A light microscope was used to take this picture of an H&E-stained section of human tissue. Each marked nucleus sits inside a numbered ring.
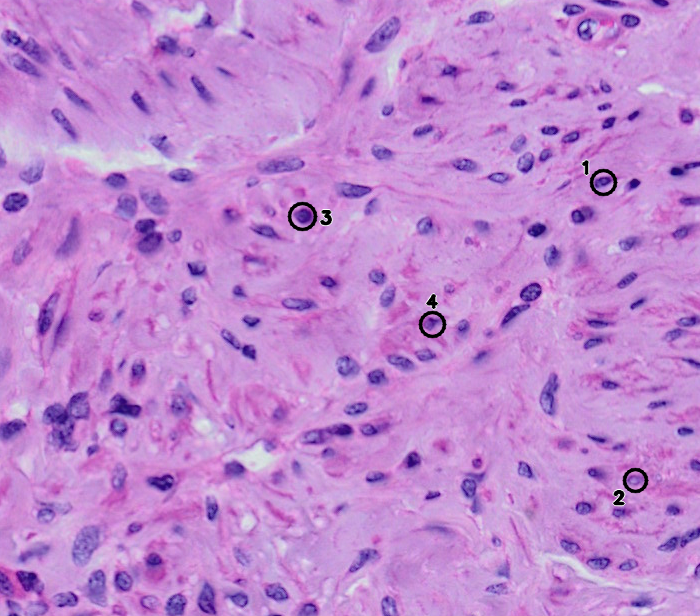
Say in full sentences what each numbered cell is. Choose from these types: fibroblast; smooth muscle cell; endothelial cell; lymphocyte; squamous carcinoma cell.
Cell 1 is a fibroblast, cell 2 is a smooth muscle cell, cell 3 is a smooth muscle cell and cell 4 is a smooth muscle cell.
